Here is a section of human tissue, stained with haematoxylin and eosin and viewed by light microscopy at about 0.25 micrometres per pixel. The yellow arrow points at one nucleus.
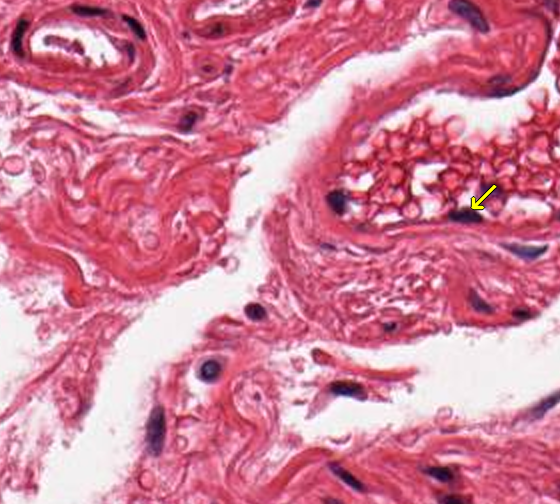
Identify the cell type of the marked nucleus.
endothelial cell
